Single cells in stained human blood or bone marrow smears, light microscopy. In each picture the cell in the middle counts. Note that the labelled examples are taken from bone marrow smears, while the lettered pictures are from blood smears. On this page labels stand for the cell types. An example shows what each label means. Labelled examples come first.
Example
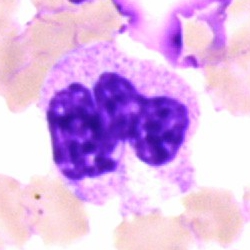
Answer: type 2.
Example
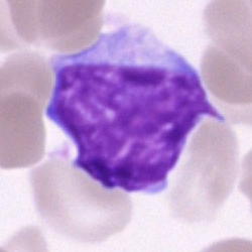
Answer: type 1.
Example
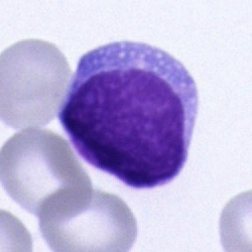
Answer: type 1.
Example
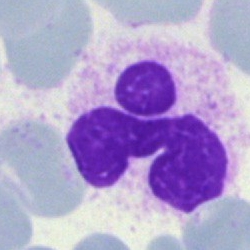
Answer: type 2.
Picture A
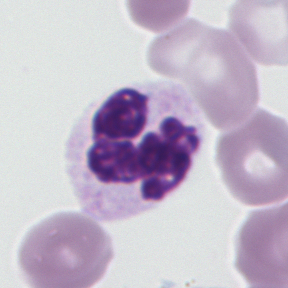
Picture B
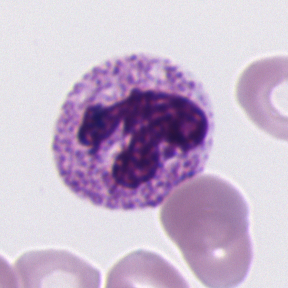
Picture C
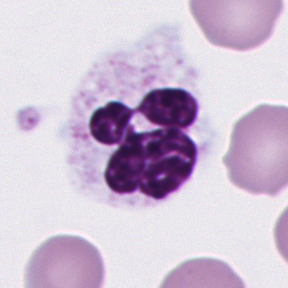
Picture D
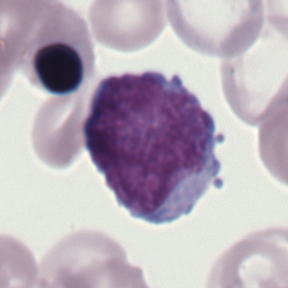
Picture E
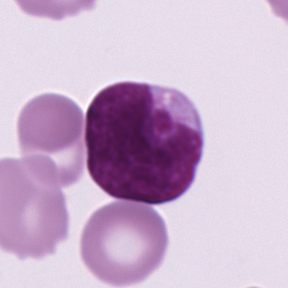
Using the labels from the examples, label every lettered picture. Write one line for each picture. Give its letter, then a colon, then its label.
A: type 2.
B: type 2.
C: type 2.
D: type 1.
E: type 1.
